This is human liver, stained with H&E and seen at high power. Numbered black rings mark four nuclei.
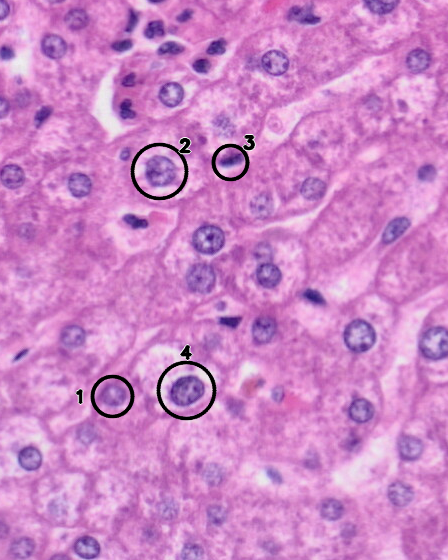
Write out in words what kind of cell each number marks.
Cells 1, 2 and 4 are hepatocytes. Cell 3 is an endothelial cell.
